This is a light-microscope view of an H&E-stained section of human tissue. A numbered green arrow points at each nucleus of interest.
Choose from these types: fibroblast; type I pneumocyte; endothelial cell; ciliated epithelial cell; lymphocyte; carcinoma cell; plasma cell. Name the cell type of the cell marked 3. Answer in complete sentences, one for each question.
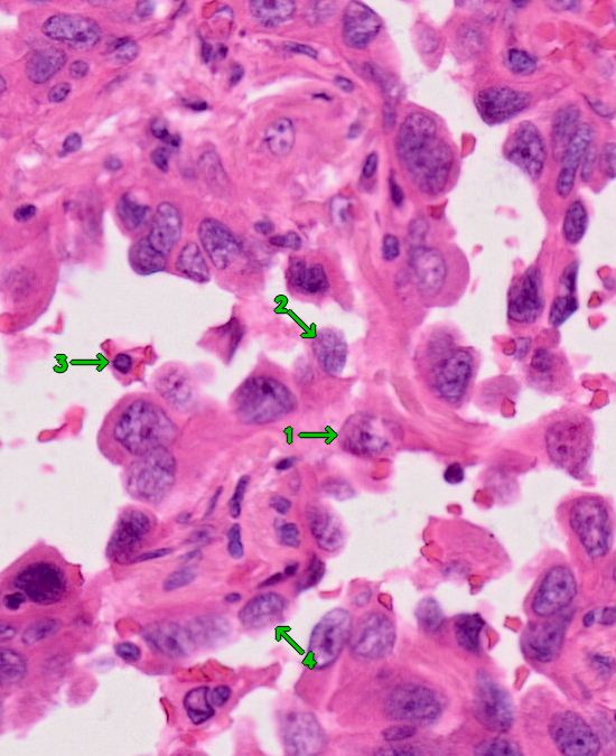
The cell marked with number 3 is a lymphocyte.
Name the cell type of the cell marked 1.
Belonging to a carcinoma cell is the nucleus that carries the number 1.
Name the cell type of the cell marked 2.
Denoted by the label 2 in the section is a carcinoma cell.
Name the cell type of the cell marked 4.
Belonging to a carcinoma cell is the nucleus that carries the number 4.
